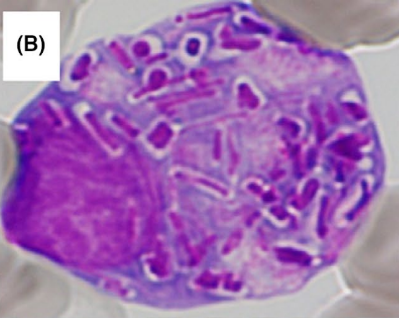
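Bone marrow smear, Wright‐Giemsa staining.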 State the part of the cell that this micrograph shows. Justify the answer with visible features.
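Cytoplasm packed with many elongated rod-like bodies. Rods are pinkish-purple with pale outlines. Eccentric nucleus at one side of the cell. The answer: rod‐shaped inclusions.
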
